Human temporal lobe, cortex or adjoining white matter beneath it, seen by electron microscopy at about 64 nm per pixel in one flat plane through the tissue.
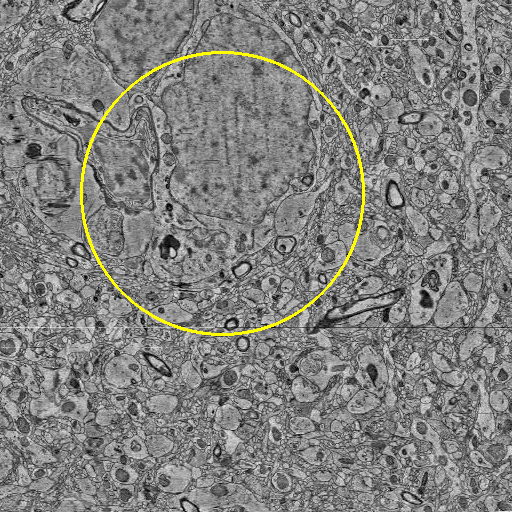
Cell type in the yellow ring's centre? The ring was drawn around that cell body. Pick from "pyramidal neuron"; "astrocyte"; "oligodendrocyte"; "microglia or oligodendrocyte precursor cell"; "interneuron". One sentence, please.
The ringed cell body is that of an interneuron.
